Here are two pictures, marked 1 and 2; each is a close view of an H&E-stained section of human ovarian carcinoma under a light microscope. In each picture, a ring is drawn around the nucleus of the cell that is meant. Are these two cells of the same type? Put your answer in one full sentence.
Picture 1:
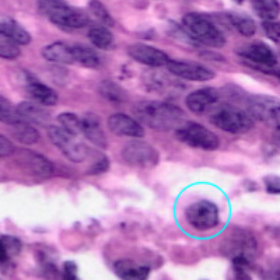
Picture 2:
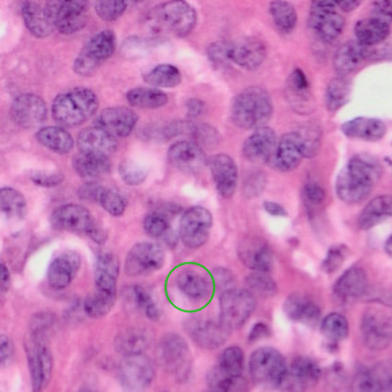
No, they differ: the cell is a “macrophage or monocyte” in picture 1 and a carcinoma cell in picture 2.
